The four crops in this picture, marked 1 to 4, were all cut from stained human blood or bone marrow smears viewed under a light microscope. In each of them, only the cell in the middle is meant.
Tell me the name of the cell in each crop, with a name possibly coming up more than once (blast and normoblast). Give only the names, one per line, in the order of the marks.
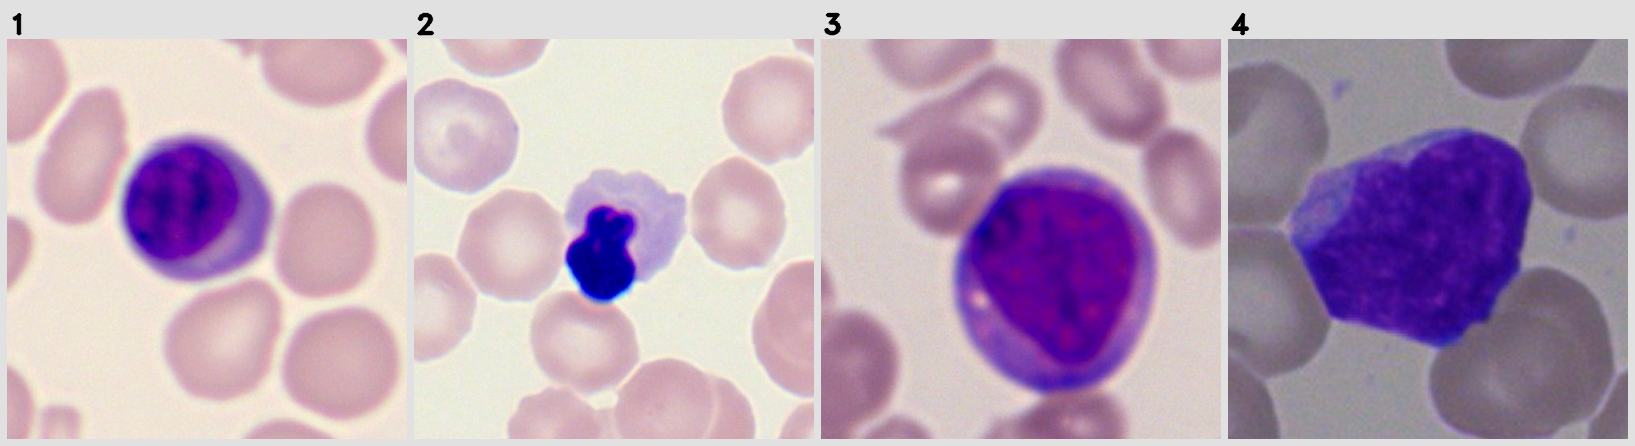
normoblast
normoblast
blast
blast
